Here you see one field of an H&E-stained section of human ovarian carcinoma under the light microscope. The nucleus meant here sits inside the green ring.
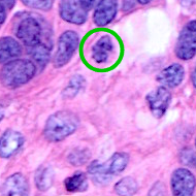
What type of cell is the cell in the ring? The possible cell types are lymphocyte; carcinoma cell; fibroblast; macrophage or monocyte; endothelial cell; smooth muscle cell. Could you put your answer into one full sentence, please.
On this particular slide, the cell in the ring is a macrophage or monocyte.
